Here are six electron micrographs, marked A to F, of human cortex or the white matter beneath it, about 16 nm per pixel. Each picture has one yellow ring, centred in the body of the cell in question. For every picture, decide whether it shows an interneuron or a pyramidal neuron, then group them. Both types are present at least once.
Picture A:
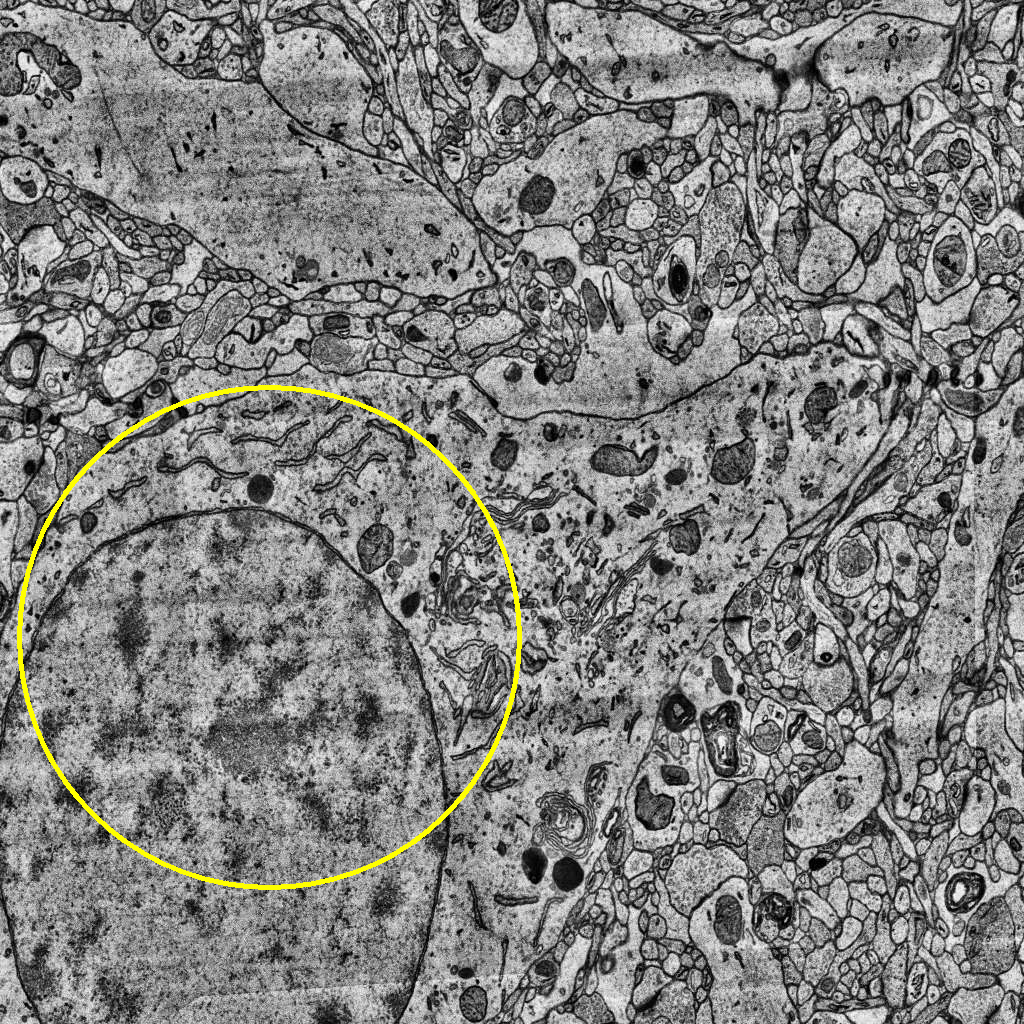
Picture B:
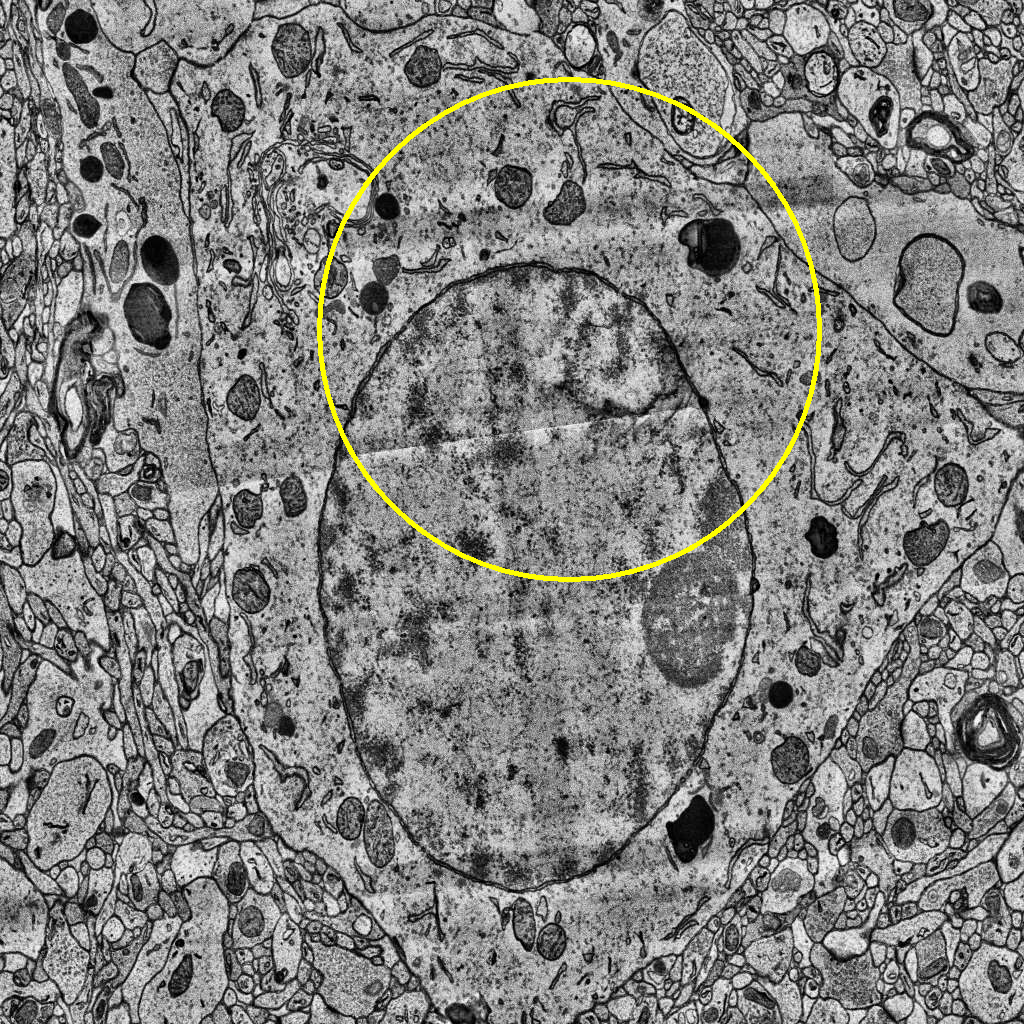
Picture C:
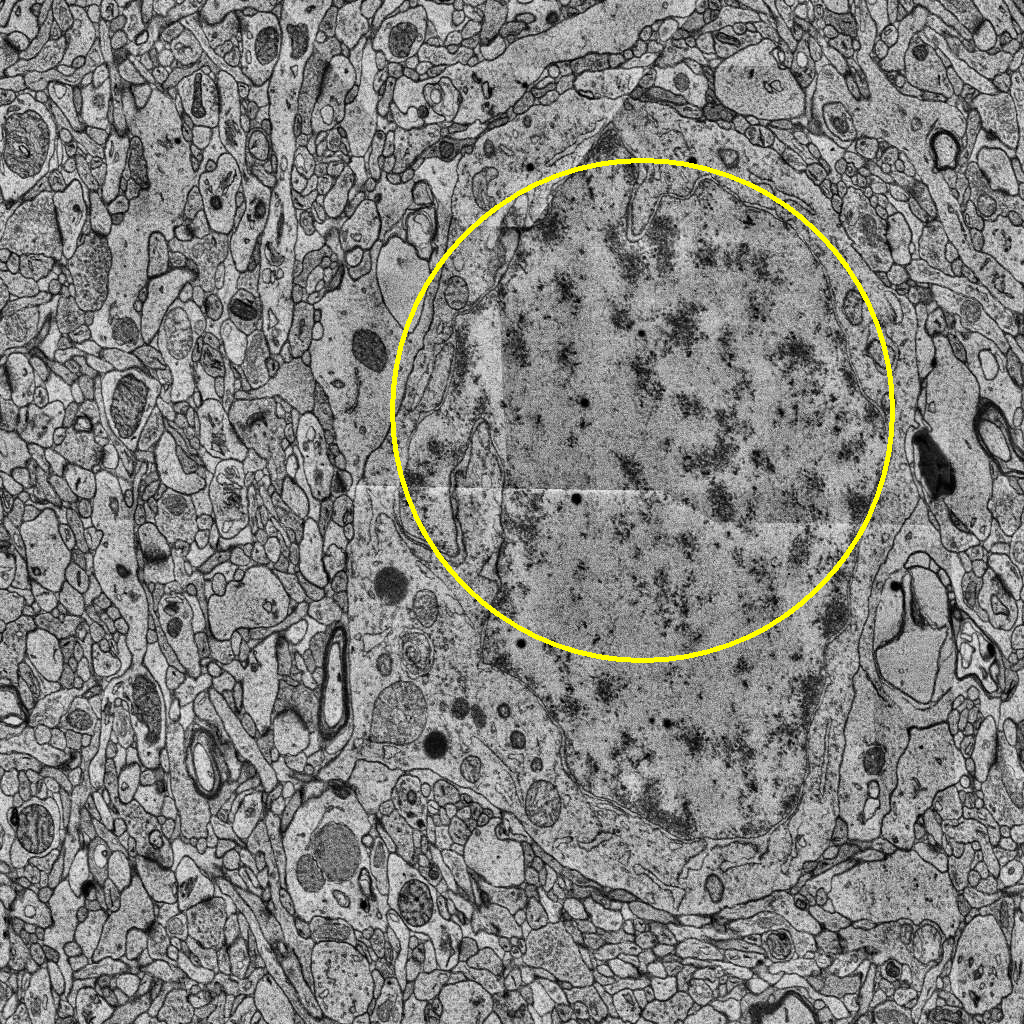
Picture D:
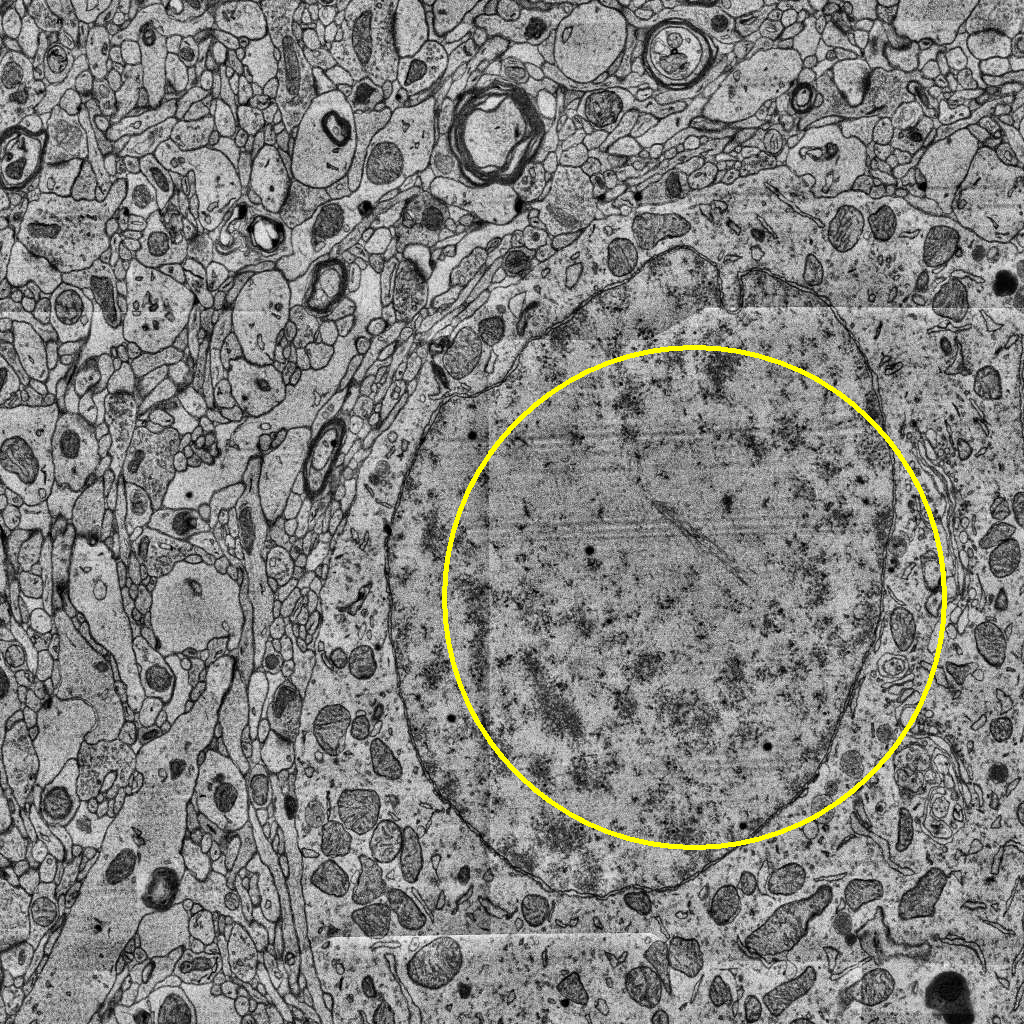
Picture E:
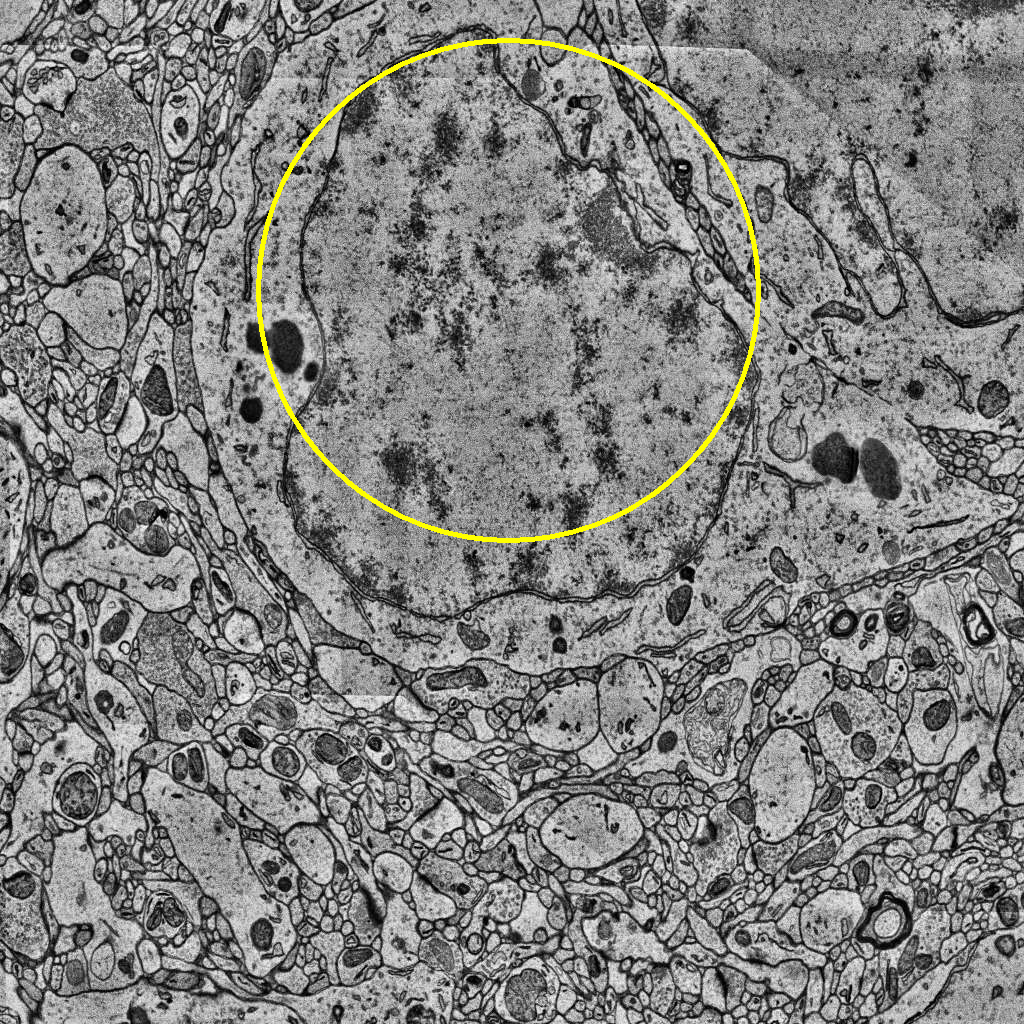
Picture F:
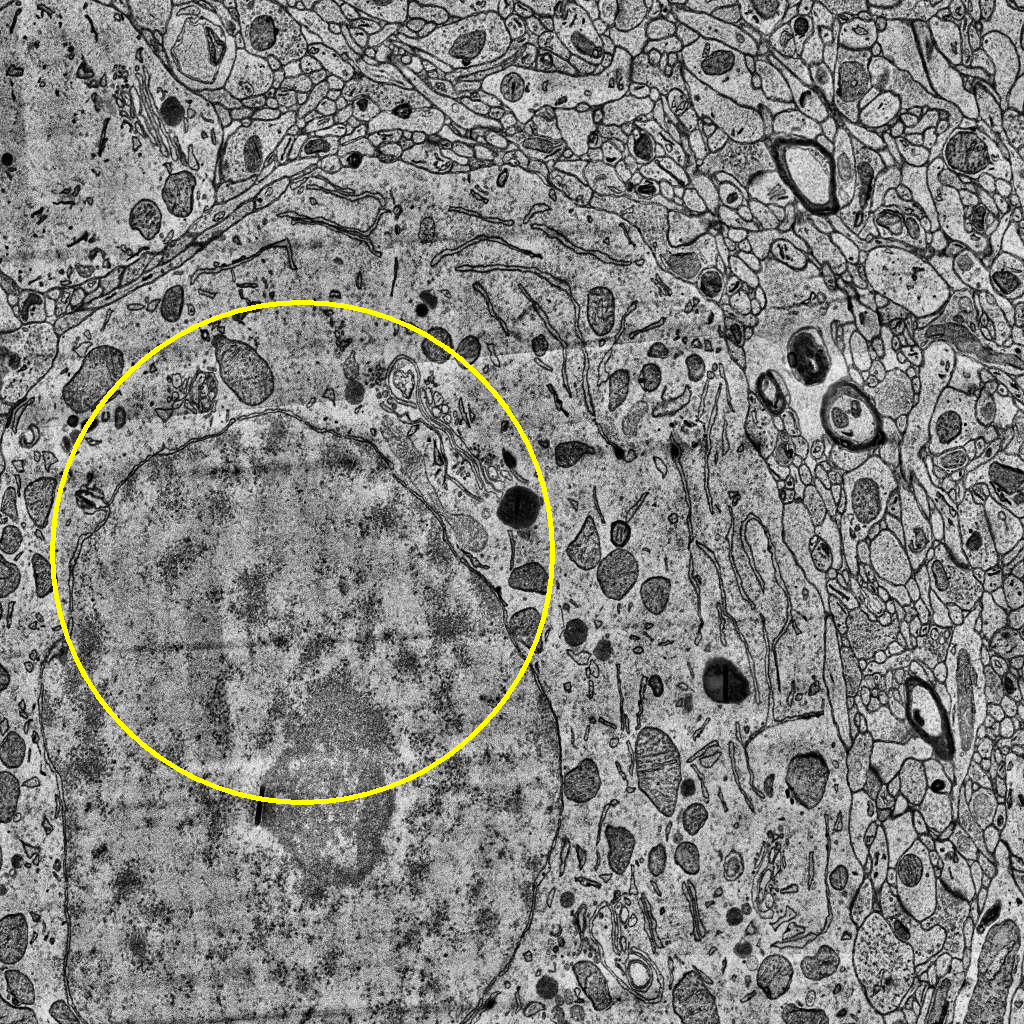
Pictures C, D, E and F show interneurons, and pictures A and B show pyramidal neurons.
